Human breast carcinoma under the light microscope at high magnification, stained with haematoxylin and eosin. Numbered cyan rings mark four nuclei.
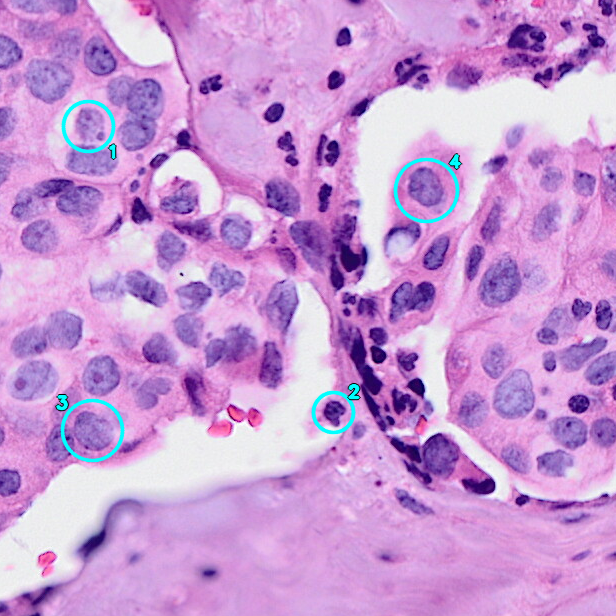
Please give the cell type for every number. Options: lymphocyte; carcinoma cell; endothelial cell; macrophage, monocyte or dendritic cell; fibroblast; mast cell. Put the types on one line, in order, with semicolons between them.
carcinoma cell; lymphocyte; carcinoma cell; carcinoma cell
